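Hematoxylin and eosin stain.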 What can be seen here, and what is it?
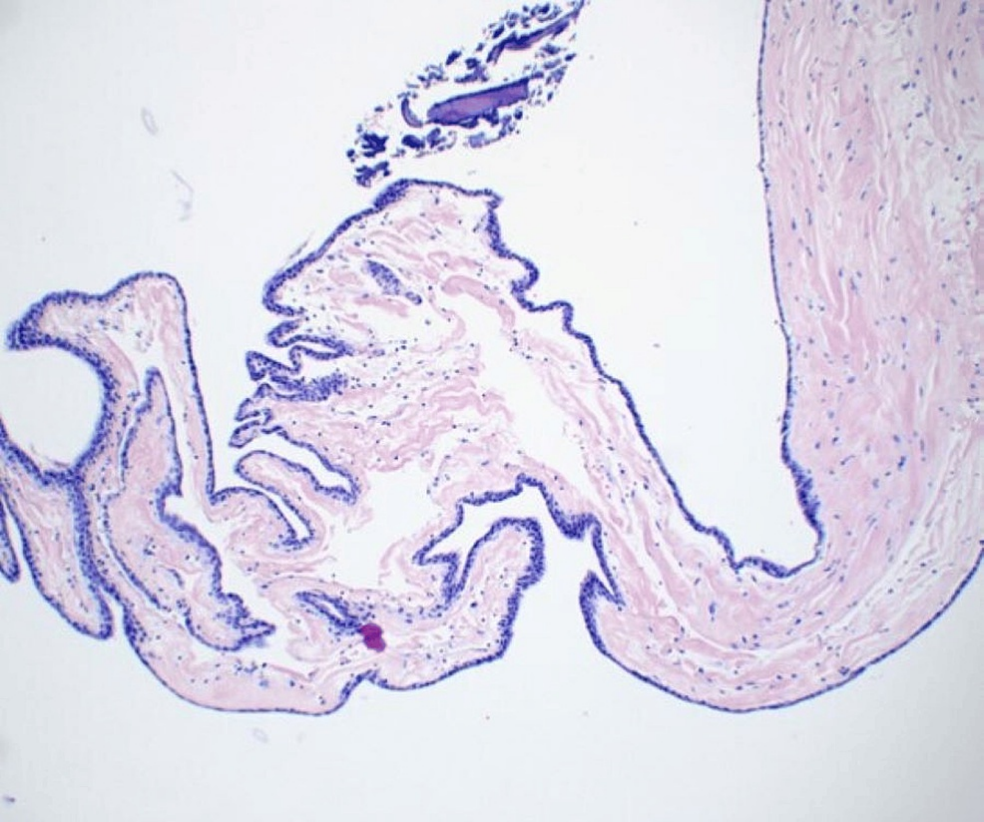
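A folded fragment of a thin cyst wall, formed of pale pink fibrous connective tissue. The lining follows the wall's many folds and projections. Inside the wall, scattered small spindle-shaped nuclei lie between wavy pink collagen bundles, and the thicker part of the wall on the right is denser. A small dark red-purple dot lies within the wall near the lower middle. A detached clump of dark blue and purple fragmented material lies free above the wall.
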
